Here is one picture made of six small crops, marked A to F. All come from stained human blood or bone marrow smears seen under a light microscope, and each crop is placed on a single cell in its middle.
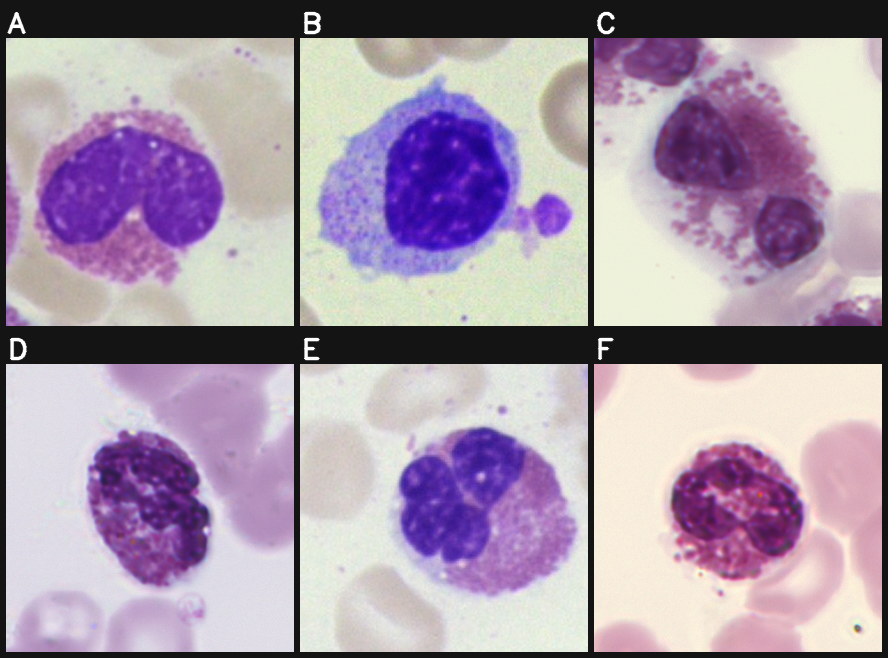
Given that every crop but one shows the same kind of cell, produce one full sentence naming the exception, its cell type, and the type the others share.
For this set, crop B is a myelocyte, and all the rest are eosinophils.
